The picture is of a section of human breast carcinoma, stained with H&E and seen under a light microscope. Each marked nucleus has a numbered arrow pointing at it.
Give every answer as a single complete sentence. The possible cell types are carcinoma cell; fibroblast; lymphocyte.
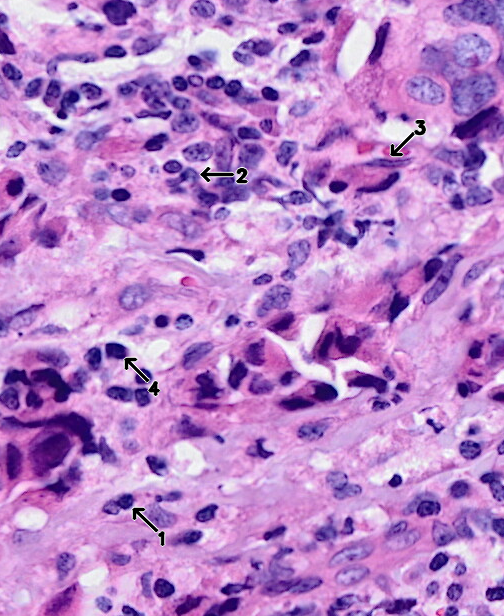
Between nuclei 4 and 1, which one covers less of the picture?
It is nucleus 1; nucleus 4 has about 2 times its area.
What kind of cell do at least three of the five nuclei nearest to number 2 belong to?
Lymphocytes account for more than half of the five nuclei nearest to number 2.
